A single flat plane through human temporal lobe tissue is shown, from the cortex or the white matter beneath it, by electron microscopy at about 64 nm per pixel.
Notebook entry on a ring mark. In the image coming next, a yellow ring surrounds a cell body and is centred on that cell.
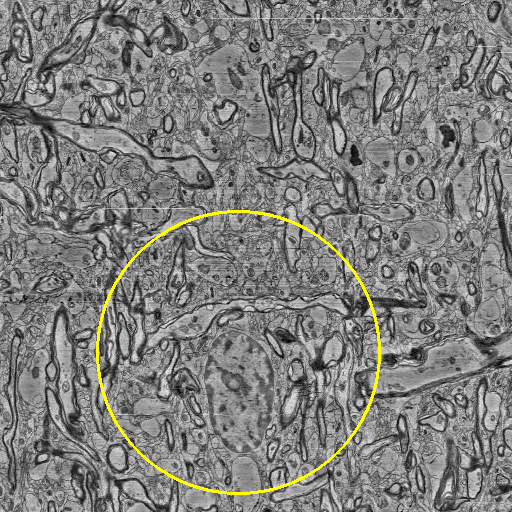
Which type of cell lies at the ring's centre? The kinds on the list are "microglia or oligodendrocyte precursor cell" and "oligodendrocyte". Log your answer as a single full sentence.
Centred in the yellow ring is a microglial cell or oligodendrocyte precursor cell, the cell recorded for this image.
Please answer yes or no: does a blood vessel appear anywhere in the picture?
No, a blood vessel is absent from this picture.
